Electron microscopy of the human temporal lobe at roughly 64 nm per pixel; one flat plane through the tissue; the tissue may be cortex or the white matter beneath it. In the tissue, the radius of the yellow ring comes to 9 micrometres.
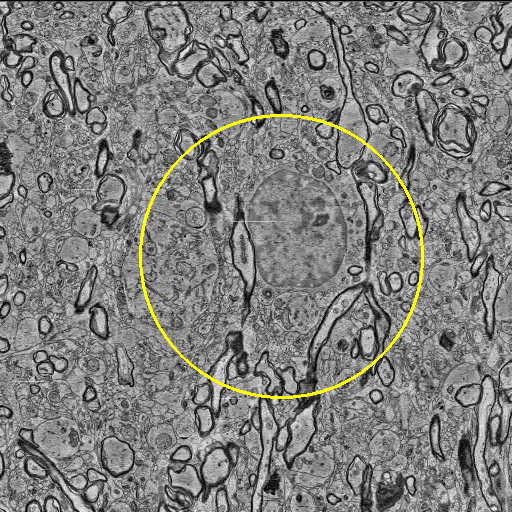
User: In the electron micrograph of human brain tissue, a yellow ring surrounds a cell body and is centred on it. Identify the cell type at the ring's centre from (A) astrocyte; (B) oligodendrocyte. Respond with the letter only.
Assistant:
B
